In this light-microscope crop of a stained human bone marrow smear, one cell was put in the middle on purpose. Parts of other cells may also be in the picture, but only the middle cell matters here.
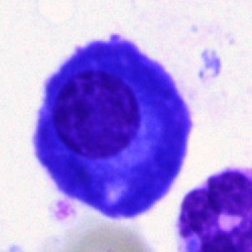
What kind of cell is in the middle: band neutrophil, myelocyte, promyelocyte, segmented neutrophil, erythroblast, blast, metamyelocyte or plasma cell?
plasma cell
